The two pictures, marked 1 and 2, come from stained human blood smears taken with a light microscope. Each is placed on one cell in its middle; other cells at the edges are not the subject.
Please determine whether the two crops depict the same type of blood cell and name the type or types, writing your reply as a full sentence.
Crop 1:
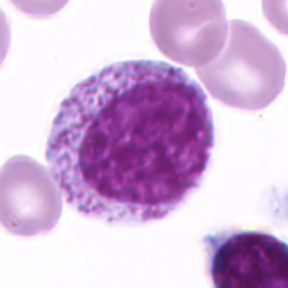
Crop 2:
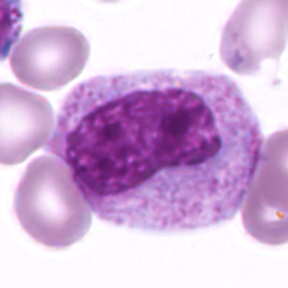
Yes, both crops show myelocytes, to put it briefly.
